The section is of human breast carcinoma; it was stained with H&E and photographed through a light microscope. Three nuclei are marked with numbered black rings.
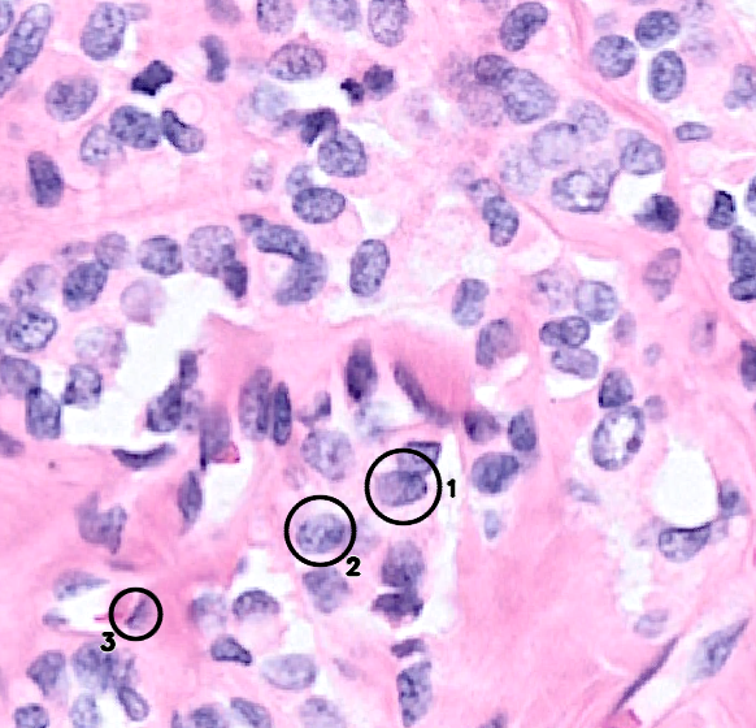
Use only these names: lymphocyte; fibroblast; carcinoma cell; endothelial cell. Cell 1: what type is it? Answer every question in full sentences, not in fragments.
Here the cell numbered 1 is a carcinoma cell.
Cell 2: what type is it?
The cell marked with the number 2 is a carcinoma cell.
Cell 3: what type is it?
The cell with the number 3 is an endothelial cell.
